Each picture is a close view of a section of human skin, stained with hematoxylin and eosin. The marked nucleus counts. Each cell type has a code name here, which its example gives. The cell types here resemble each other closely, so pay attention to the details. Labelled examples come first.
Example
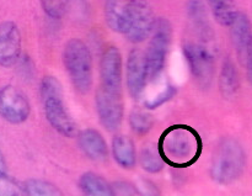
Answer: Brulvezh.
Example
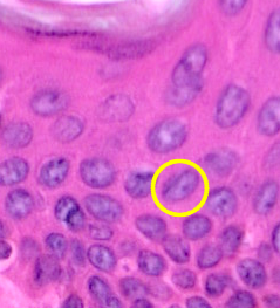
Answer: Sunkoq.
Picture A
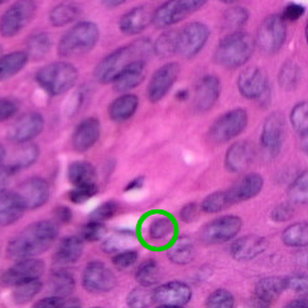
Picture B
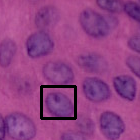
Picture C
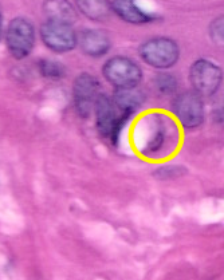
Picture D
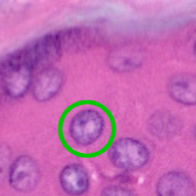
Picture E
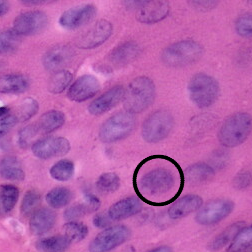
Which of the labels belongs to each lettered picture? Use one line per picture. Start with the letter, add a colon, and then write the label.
A: Brulvezh.
B: Sunkoq.
C: Brulvezh.
D: Sunkoq.
E: Sunkoq.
